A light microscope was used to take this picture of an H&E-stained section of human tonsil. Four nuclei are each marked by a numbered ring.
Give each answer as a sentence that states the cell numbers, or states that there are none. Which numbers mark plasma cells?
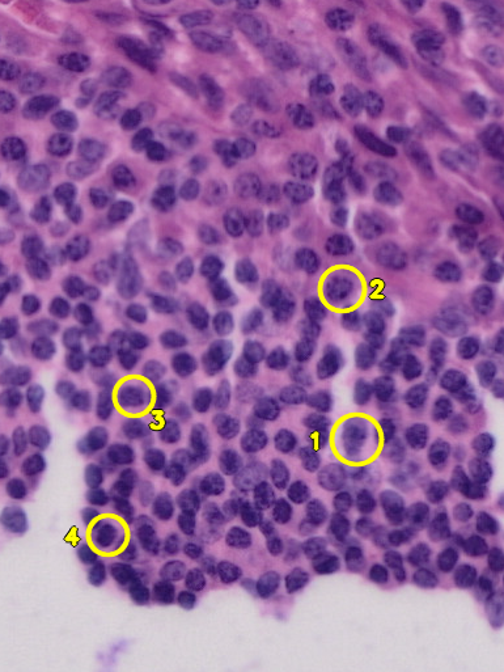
Only the cell with number 2 is a plasma cell.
